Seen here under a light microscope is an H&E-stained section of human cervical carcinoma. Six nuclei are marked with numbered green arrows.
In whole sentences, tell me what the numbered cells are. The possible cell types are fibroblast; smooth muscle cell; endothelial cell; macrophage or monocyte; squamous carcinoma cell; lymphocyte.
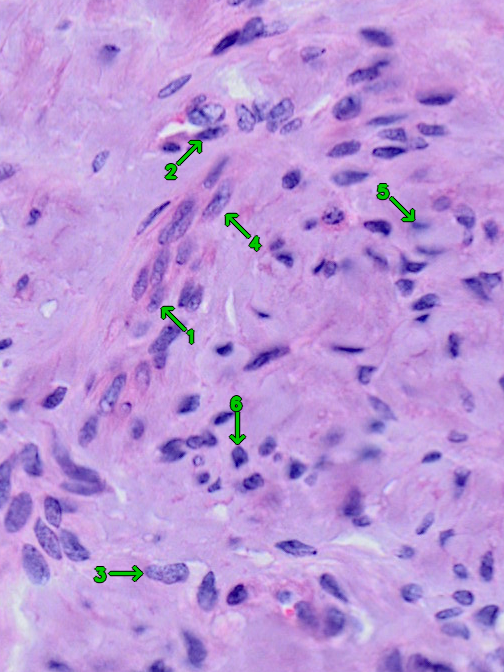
Cell 1 is a smooth muscle cell, cell 2 is an endothelial cell, cell 3 is a fibroblast, cell 4 is a smooth muscle cell, cell 5 is a fibroblast and cell 6 is a fibroblast.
